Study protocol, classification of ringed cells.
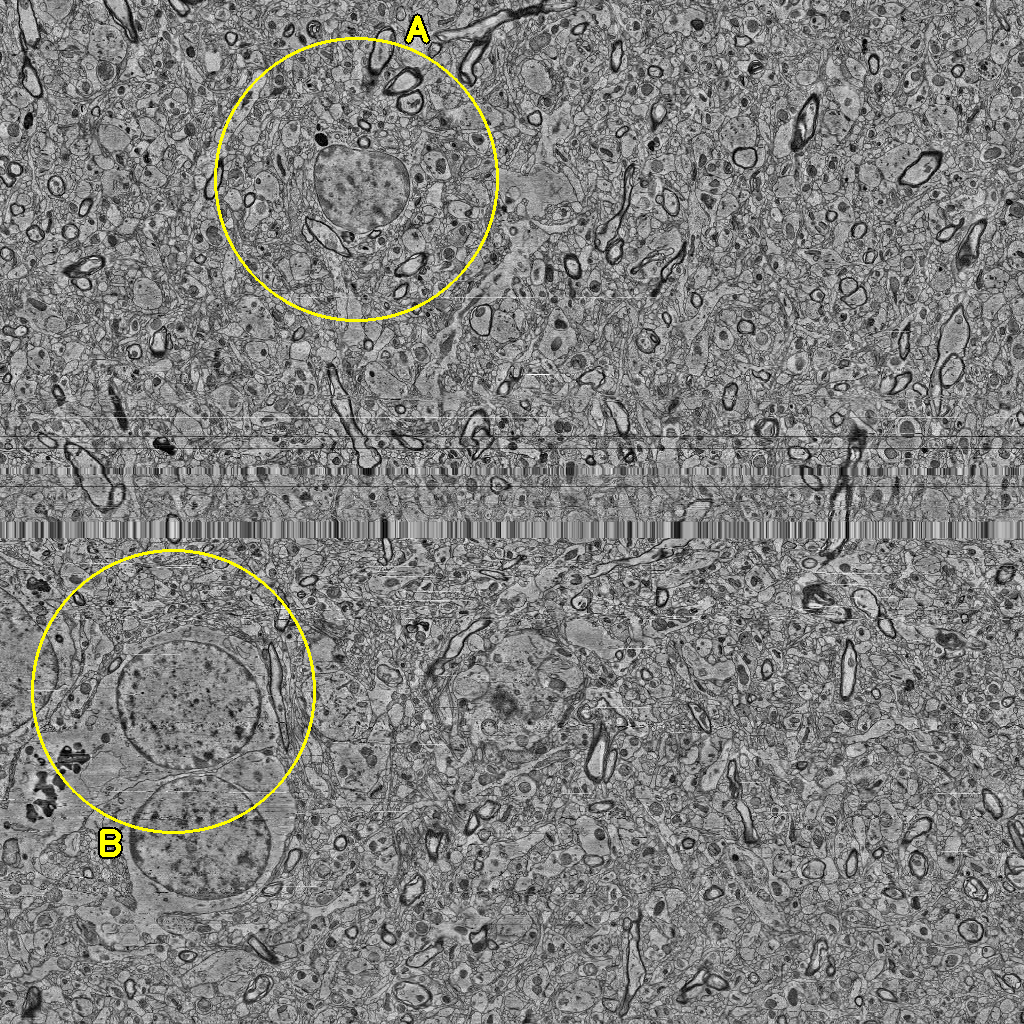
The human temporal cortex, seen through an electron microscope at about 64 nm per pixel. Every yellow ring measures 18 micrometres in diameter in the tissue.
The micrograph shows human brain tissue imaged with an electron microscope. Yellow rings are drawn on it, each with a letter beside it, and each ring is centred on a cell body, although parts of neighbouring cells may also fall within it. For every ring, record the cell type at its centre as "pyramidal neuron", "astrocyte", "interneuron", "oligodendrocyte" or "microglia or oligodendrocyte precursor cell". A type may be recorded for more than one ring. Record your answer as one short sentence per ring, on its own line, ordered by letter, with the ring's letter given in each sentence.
Ring A has been centred on a microglial cell or oligodendrocyte precursor cell.
Ring B has been centred on an astrocyte.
